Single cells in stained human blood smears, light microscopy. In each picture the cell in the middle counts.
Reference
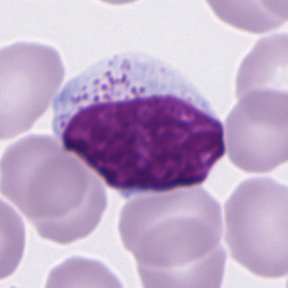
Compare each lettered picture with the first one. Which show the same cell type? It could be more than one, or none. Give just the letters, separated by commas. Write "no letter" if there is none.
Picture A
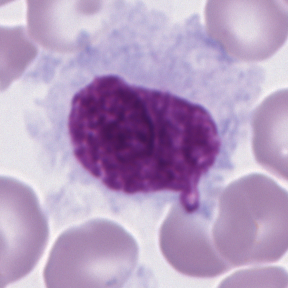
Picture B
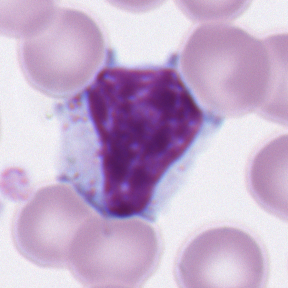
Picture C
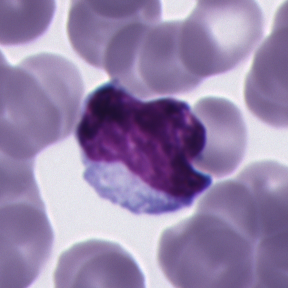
B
